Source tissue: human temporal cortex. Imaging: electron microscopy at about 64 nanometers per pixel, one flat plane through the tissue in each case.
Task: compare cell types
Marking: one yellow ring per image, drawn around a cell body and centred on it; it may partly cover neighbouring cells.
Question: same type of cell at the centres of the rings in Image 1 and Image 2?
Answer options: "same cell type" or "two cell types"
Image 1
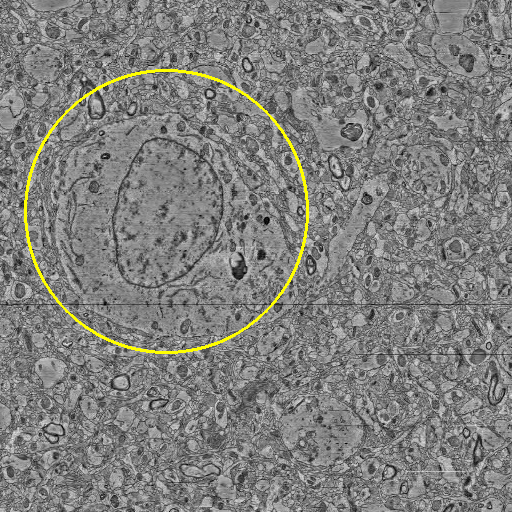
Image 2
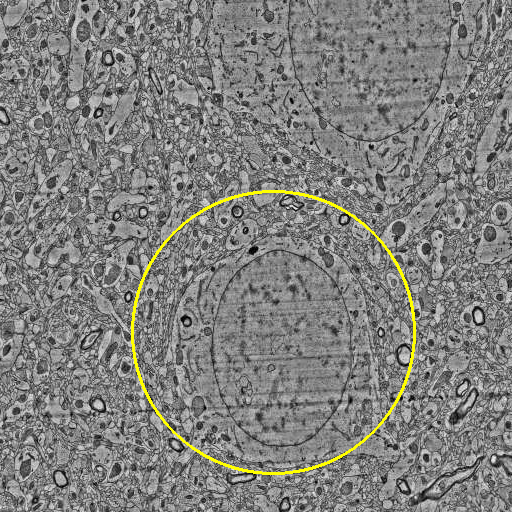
same cell type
